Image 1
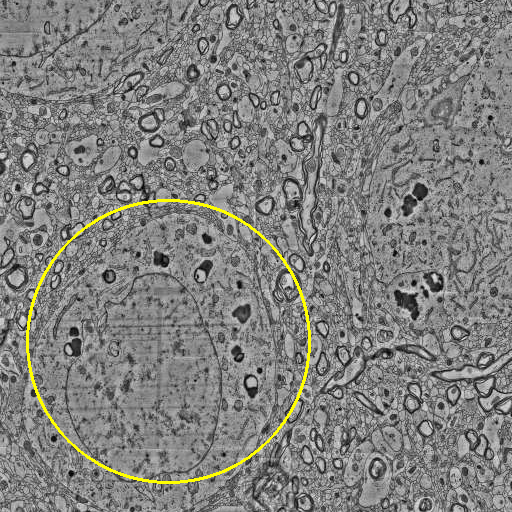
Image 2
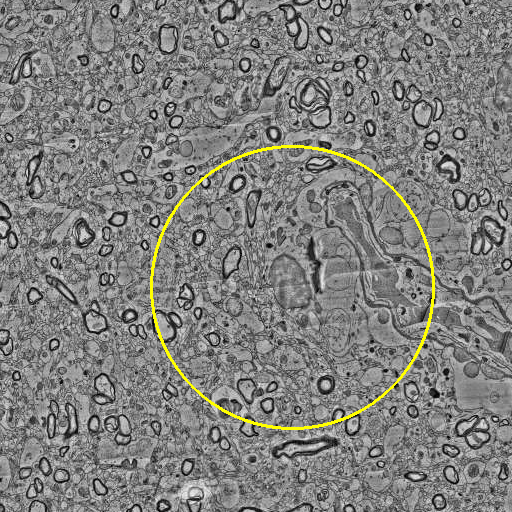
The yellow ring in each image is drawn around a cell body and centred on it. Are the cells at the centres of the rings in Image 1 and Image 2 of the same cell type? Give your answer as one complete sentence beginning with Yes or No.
No, the two cells are of two separate types.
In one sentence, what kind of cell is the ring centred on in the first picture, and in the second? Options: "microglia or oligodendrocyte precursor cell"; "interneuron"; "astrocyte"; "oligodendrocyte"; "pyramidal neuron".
The cell at the centre of the second ring is an oligodendrocyte; the first ring's cell is a pyramidal neuron.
